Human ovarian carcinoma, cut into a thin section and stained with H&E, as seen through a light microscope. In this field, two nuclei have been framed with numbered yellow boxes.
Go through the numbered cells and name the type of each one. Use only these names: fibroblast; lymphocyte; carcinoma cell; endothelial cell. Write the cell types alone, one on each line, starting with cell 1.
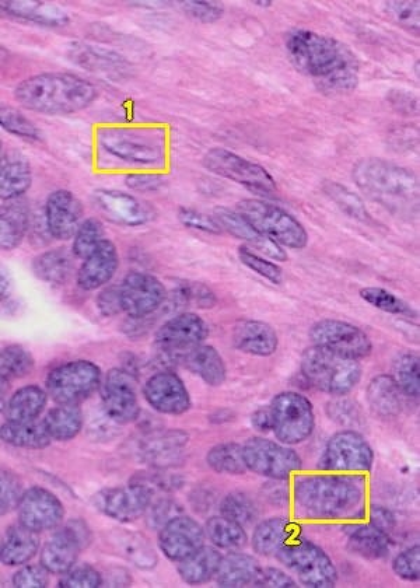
fibroblast
carcinoma cell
